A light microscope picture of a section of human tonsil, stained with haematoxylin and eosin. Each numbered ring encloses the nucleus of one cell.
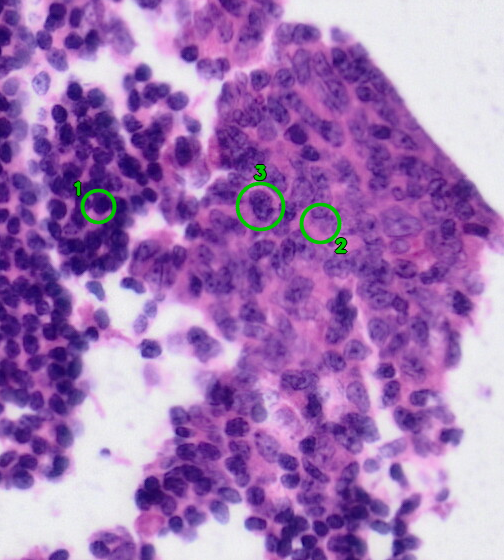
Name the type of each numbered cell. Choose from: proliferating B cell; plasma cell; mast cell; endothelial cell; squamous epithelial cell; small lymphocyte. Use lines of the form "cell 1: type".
cell 1: small lymphocyte
cell 2: proliferating B cell
cell 3: proliferating B cell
